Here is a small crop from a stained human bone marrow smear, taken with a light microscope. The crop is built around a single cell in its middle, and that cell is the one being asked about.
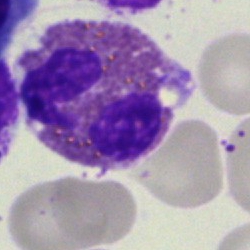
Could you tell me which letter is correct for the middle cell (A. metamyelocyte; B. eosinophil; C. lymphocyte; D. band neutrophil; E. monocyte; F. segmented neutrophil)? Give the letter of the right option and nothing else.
B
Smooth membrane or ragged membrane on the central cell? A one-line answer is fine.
The cell shows an uneven border, formed by ragged areas or by outward projections.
